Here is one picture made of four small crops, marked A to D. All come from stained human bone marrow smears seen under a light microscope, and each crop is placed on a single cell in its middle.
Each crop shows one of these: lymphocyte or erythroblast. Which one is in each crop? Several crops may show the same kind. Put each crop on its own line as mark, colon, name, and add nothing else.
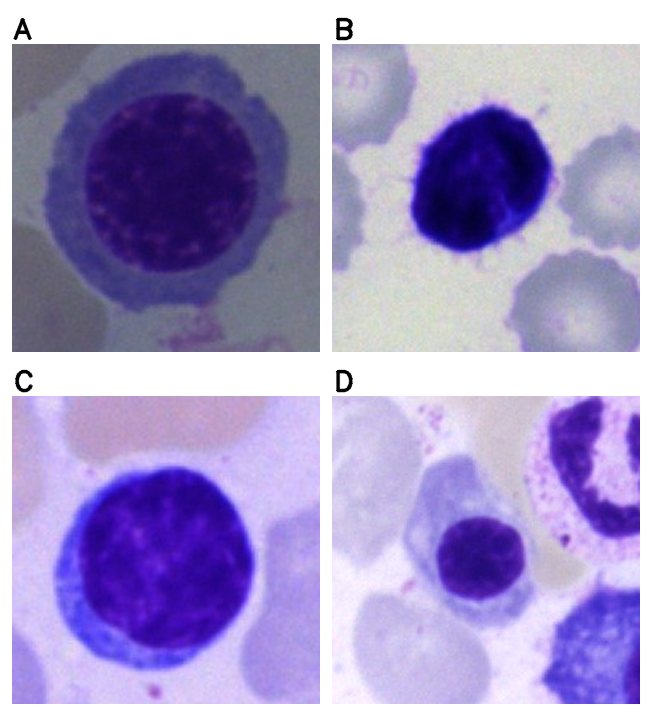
A: erythroblast
B: lymphocyte
C: lymphocyte
D: erythroblast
